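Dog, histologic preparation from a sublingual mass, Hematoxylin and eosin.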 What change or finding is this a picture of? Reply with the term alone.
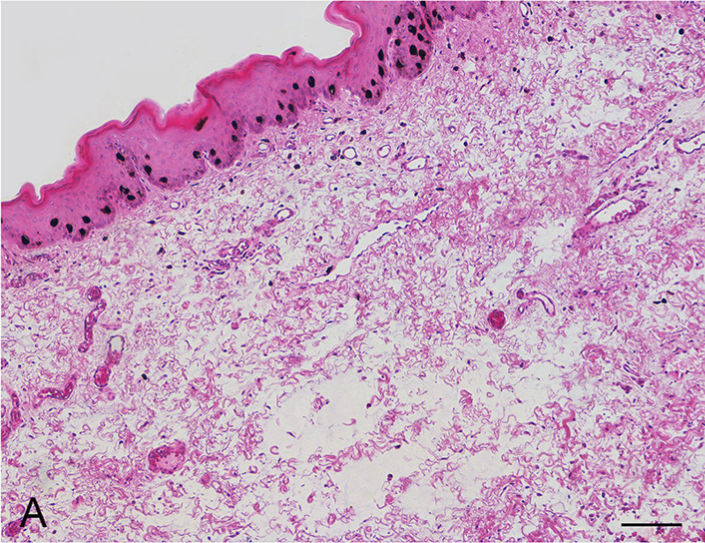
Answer: Increased clear spaces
